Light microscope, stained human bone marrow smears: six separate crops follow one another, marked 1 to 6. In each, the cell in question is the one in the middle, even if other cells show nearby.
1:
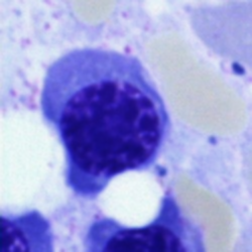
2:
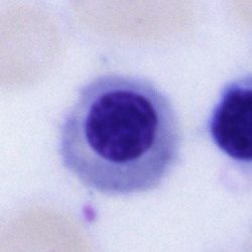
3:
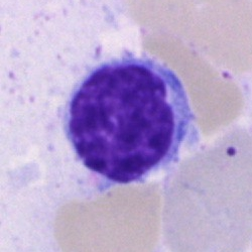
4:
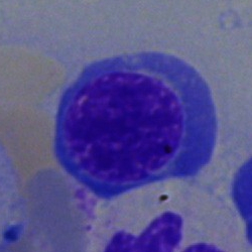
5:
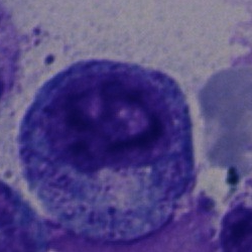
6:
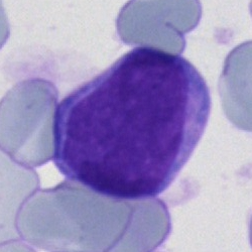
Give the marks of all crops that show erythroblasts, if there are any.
1, 2, 4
